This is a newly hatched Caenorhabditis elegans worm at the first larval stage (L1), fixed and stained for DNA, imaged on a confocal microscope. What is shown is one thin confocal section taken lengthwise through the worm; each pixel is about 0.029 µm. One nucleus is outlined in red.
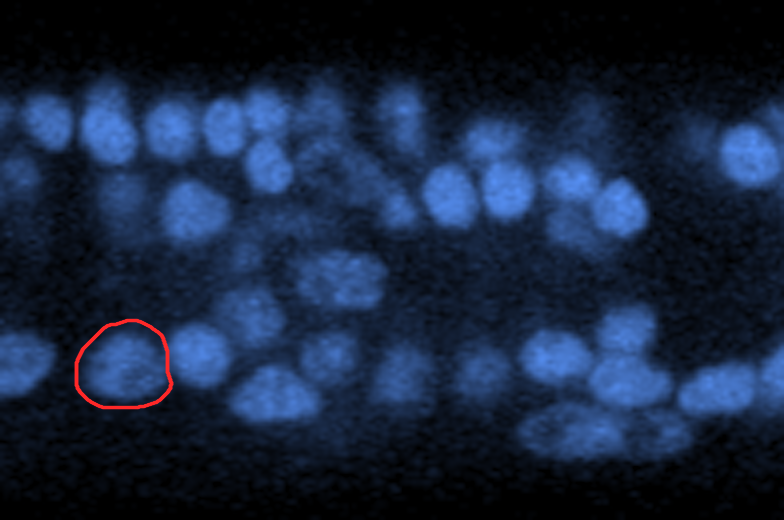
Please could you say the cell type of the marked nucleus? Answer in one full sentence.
This is the nucleus of a pharyngeal muscle cell.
